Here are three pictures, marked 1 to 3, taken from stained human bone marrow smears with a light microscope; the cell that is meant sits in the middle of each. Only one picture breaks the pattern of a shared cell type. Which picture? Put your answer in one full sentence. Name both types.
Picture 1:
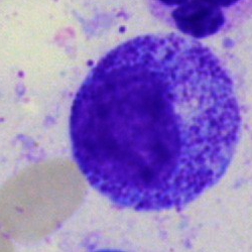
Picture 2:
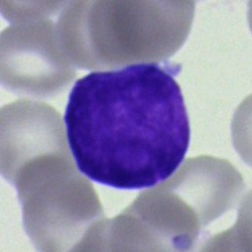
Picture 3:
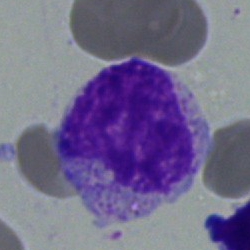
The different one is picture 2; it shows a blast, whereas all the others show myelocytes.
